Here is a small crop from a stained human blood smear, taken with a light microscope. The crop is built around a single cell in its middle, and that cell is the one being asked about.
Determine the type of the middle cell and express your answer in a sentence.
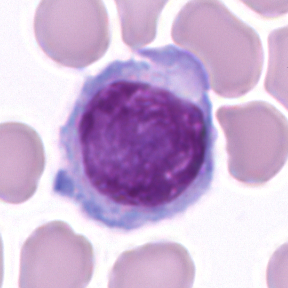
The cell sitting right in the middle is a plasma cell.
